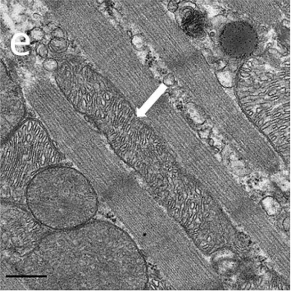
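Longitudinally sectioned cardiac muscle fibers, showing myofibrils with regular cross-striation running diagonally across the field. Between the myofibrils lie rows of elongated and rounded mitochondria, each bounded by a membrane and filled with densely packed, closely spaced cristae. Dark transverse lines and paler and darker bands repeat along the myofibrils. The mitochondria are large relative to the myofibril width and are closely apposed to the contractile filaments along their length.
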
